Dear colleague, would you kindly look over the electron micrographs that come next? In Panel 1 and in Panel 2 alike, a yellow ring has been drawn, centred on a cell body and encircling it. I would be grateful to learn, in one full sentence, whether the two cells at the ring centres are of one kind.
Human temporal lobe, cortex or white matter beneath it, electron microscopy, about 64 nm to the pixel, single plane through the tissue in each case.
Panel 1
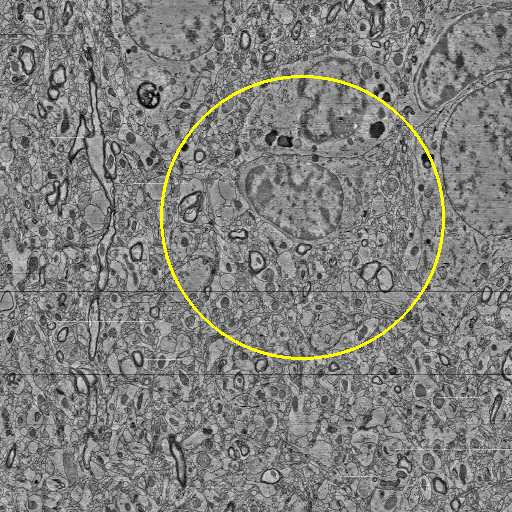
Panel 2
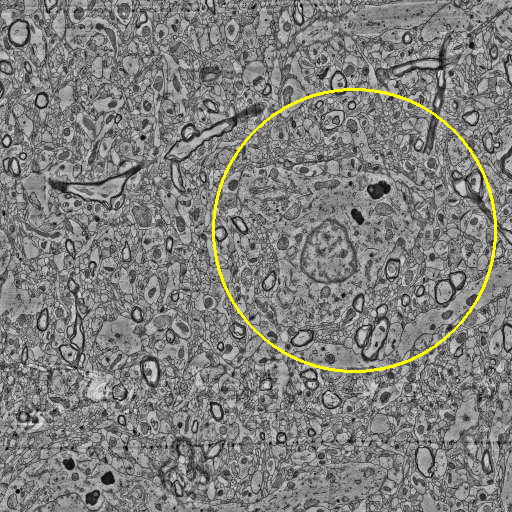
No, the cells in the middle of the rings in the two panels are of two kinds.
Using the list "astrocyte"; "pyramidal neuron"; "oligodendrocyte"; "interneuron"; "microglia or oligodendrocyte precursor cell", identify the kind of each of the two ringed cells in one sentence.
The first is an oligodendrocyte and the second is a pyramidal neuron.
